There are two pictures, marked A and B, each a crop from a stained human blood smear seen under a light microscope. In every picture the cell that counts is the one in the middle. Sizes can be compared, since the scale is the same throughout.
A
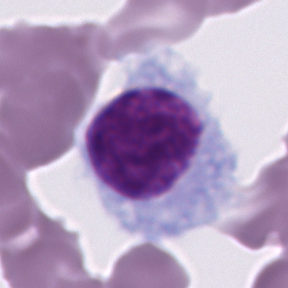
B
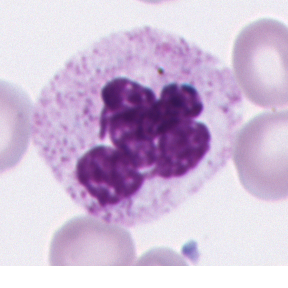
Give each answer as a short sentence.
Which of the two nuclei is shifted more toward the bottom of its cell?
The nucleus in crop B lies further toward the bottom of its cell.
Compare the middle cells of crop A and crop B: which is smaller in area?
It is the cell in crop A; the cell in crop B has about 1.5 times its area.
